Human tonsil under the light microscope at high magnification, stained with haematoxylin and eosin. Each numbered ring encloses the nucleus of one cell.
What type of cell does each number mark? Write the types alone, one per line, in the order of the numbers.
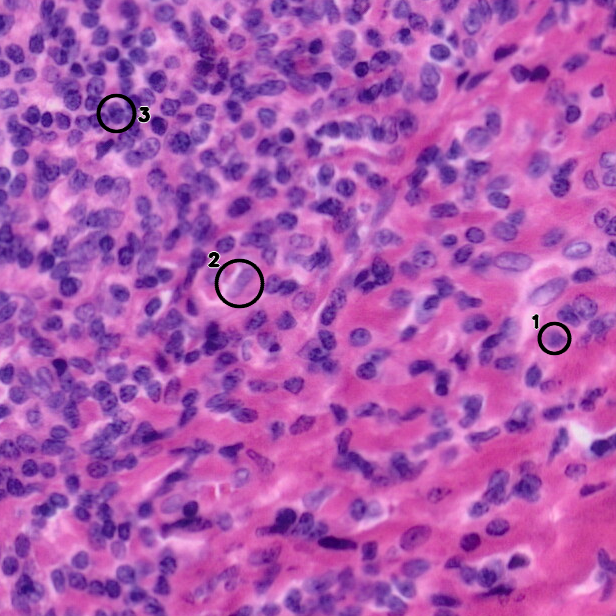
mast cell
endothelial cell
small lymphocyte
